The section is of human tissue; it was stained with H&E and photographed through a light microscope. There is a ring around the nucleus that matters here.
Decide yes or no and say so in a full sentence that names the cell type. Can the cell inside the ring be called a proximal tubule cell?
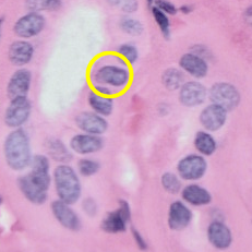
No, the cell inside the ring does not represent a proximal tubule cell; it represents a collecting duct cell.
